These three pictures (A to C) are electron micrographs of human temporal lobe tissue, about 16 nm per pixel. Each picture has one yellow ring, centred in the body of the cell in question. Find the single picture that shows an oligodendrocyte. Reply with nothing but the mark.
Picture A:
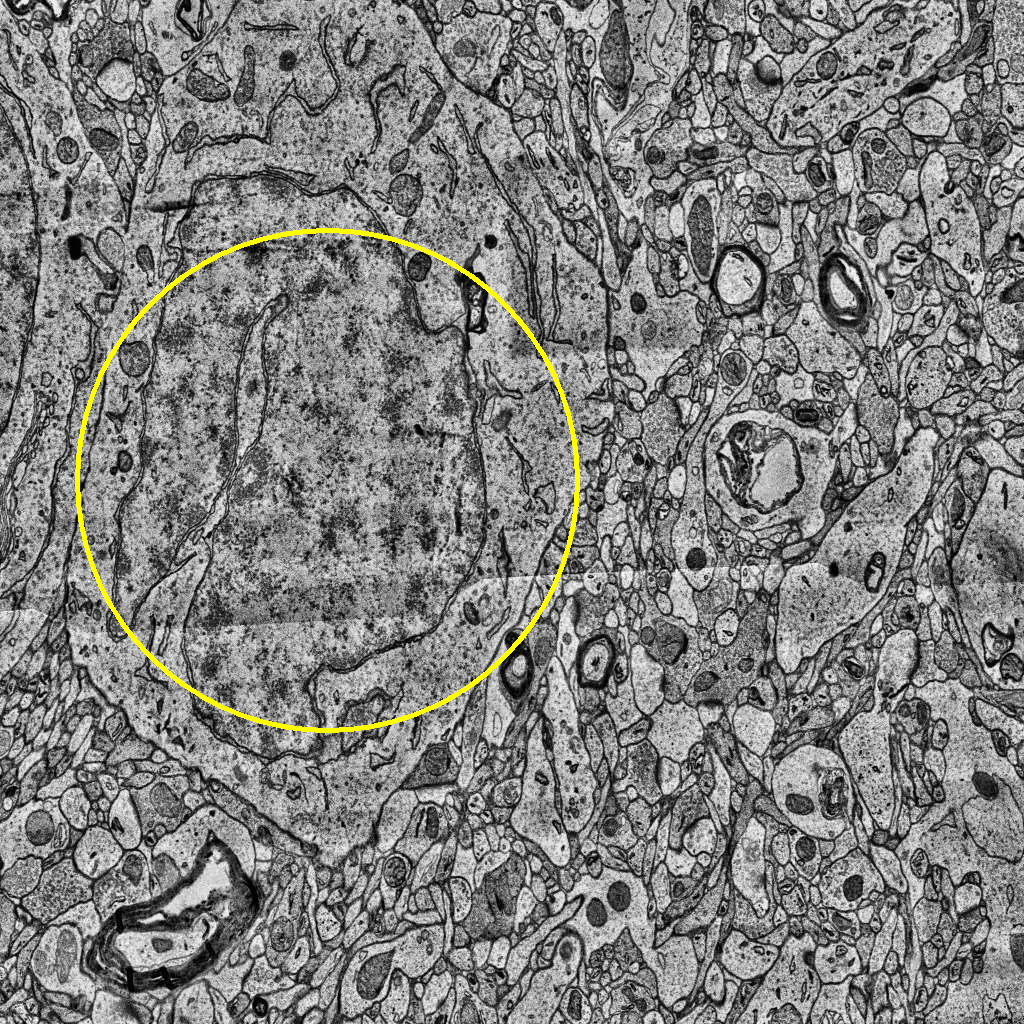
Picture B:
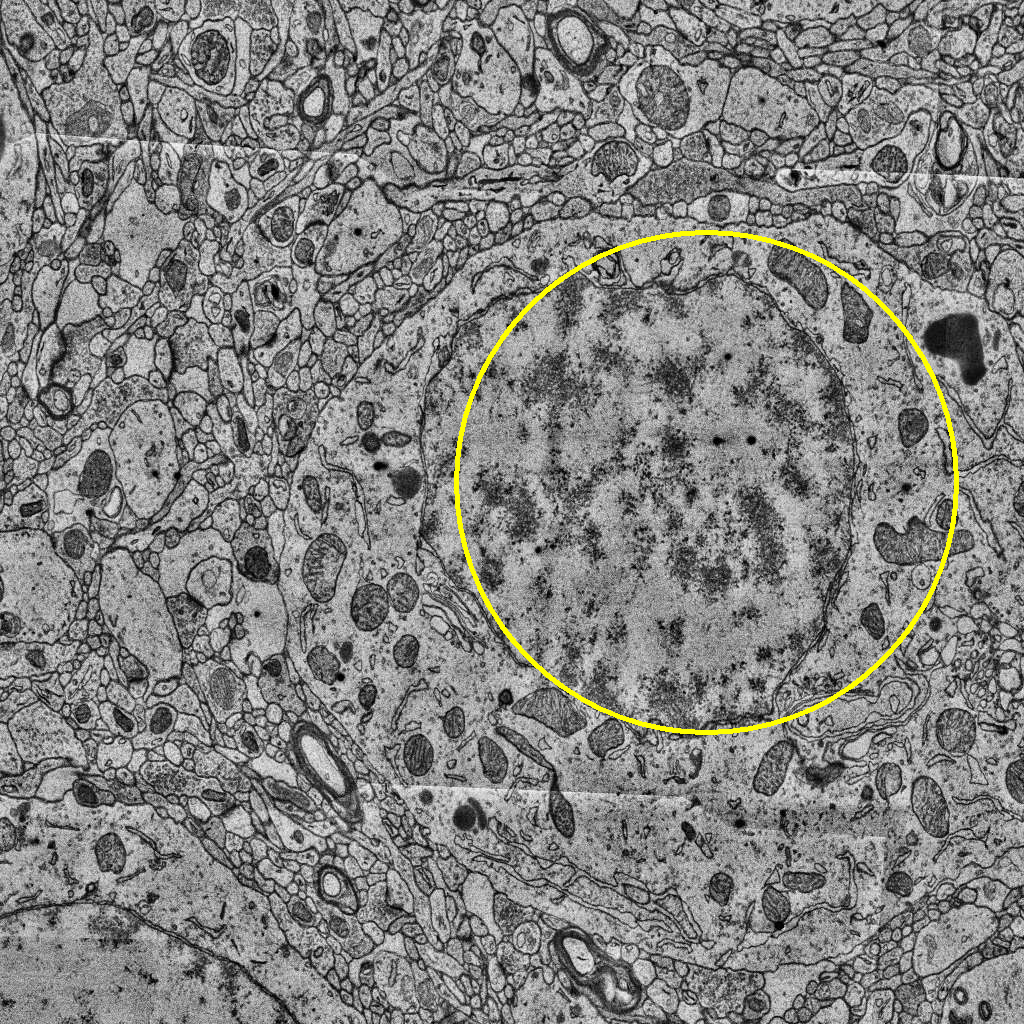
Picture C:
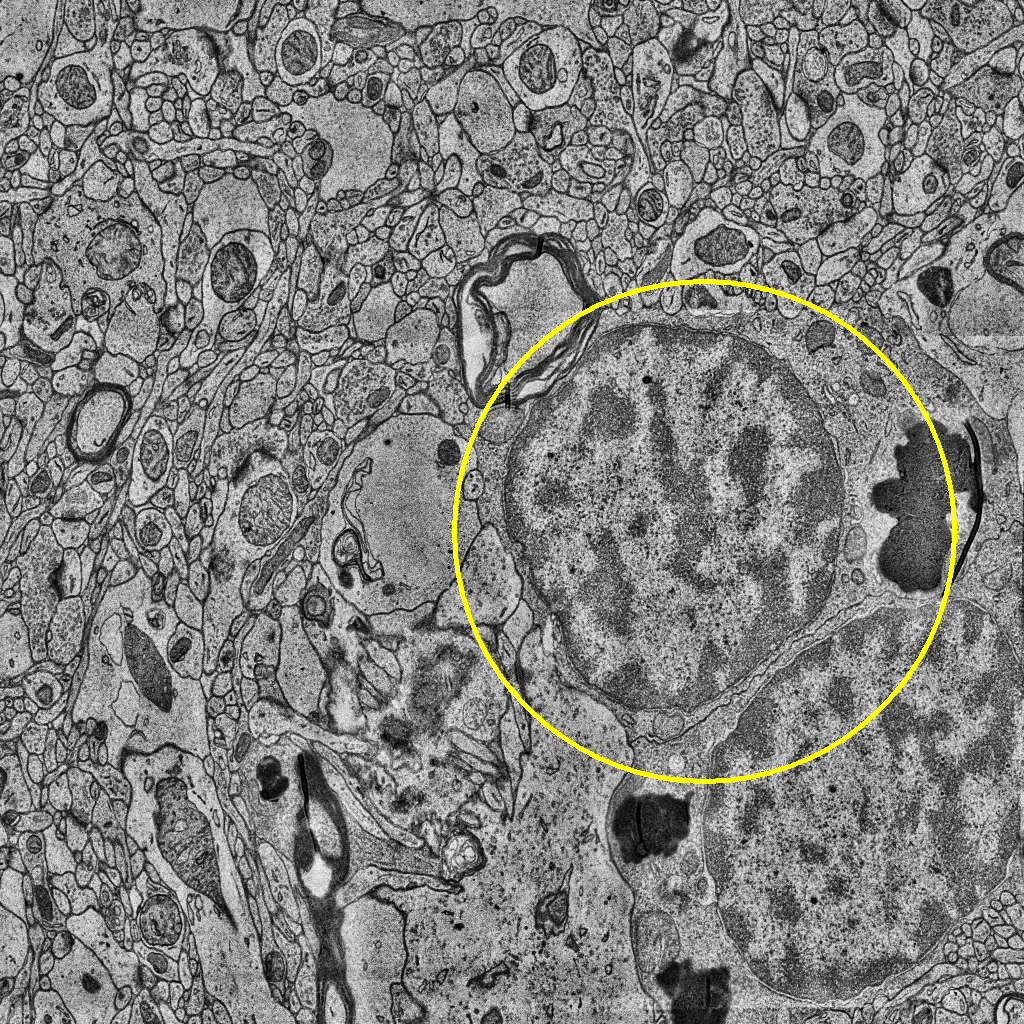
C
